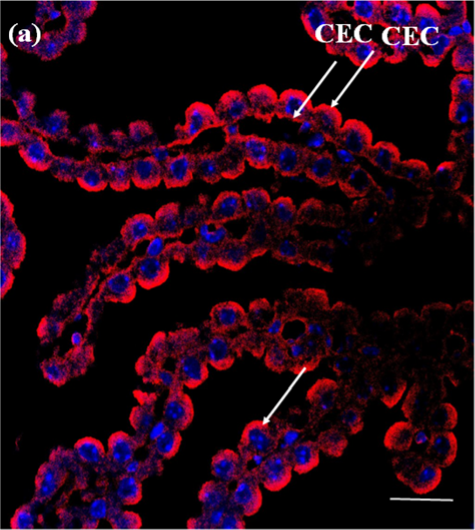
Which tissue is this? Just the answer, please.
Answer: Choroid plexus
